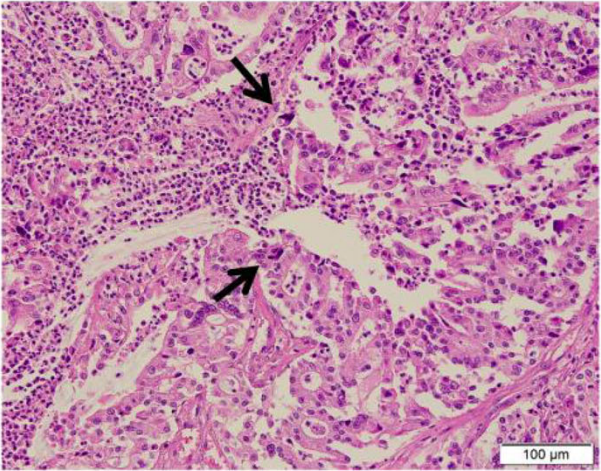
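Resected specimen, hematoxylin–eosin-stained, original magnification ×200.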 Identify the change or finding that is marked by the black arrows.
Irregular pyknotic nuclei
